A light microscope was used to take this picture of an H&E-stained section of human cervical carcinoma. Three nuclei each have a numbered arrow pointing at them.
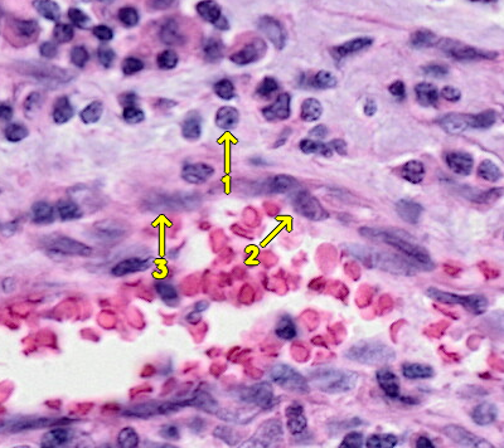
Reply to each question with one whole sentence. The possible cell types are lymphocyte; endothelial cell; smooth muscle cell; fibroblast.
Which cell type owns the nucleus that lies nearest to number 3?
The nucleus nearest to number 3 is that of an endothelial cell.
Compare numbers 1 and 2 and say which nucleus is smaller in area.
The smaller nucleus is 1, and 2 covers roughly 2.5 times its area.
